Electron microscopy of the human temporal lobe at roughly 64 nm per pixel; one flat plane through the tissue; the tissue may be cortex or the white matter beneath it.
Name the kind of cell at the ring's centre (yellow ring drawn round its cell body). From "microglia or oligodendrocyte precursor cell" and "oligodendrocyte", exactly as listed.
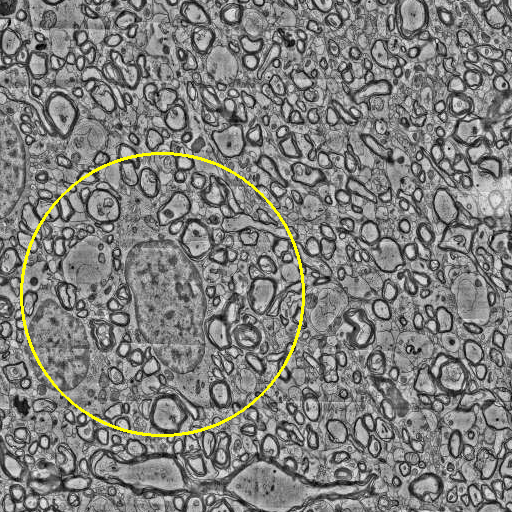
oligodendrocyte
